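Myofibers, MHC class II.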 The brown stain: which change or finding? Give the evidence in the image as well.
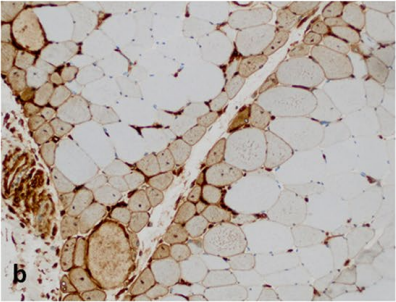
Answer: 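Fibers along the diagonal connective tissue septum are stained brown. Staining fades from the septum inward. So: strong perifascicular to weak centrofascicular pattern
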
